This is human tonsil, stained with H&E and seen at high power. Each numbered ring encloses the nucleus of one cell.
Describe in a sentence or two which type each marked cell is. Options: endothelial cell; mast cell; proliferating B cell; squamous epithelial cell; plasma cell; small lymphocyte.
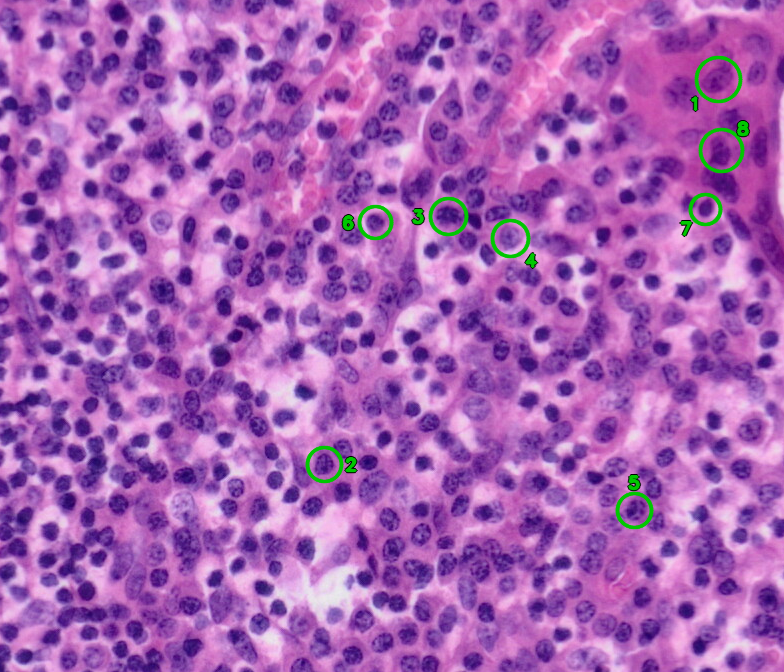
Cell 1 is a squamous epithelial cell, cell 2 is a plasma cell, cell 3 is a plasma cell, cell 4 is a plasma cell, cell 5 is a plasma cell, cell 6 is a plasma cell, cell 7 is a squamous epithelial cell and cell 8 is a squamous epithelial cell.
